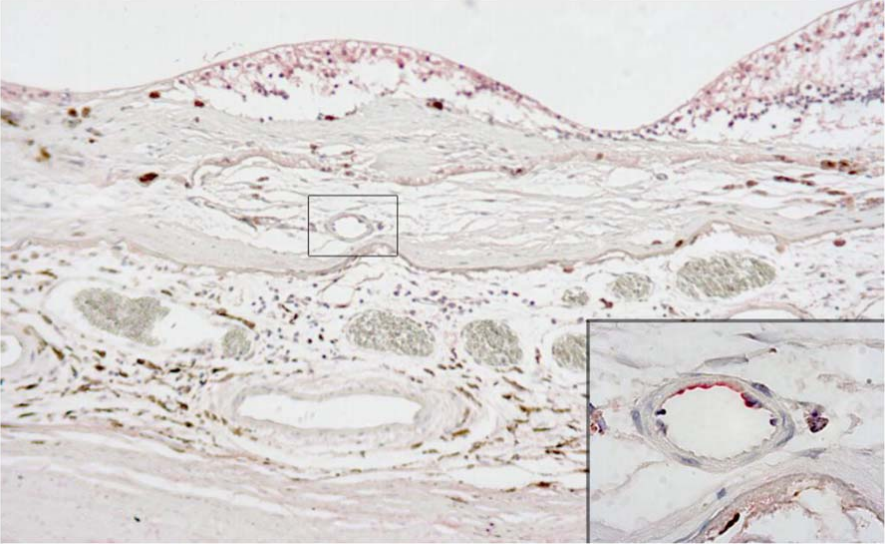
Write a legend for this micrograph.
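In the inset the vessel has an open, rounded lumen lined by flattened endothelial cells, and a thin red line of stain runs along its luminal surface. Its wall is made of a few layers of cells with blue-stained nuclei, set in pale, loosely arranged fibrous tissue. Below the boxed area lies a row of larger vessels whose lumens are packed with finely granular, olive-tinted contents, and further down a larger thick-walled vessel runs across the section. Scattered cells with brown pigment are seen throughout the tissue, and the upper surface is covered by a loose, vacuolated layer with small blue nuclei and some red tinge.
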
